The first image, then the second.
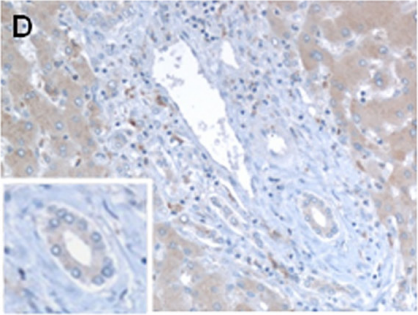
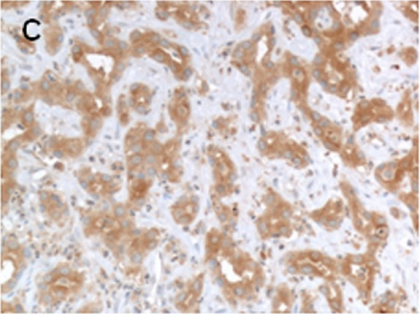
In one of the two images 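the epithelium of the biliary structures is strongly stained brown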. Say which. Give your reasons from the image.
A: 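First image: the small duct epithelium in the portal area is pale, mostly blue. Second image: the epithelial cords and glands are strongly brown throughout. On this evidence: the second image.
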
